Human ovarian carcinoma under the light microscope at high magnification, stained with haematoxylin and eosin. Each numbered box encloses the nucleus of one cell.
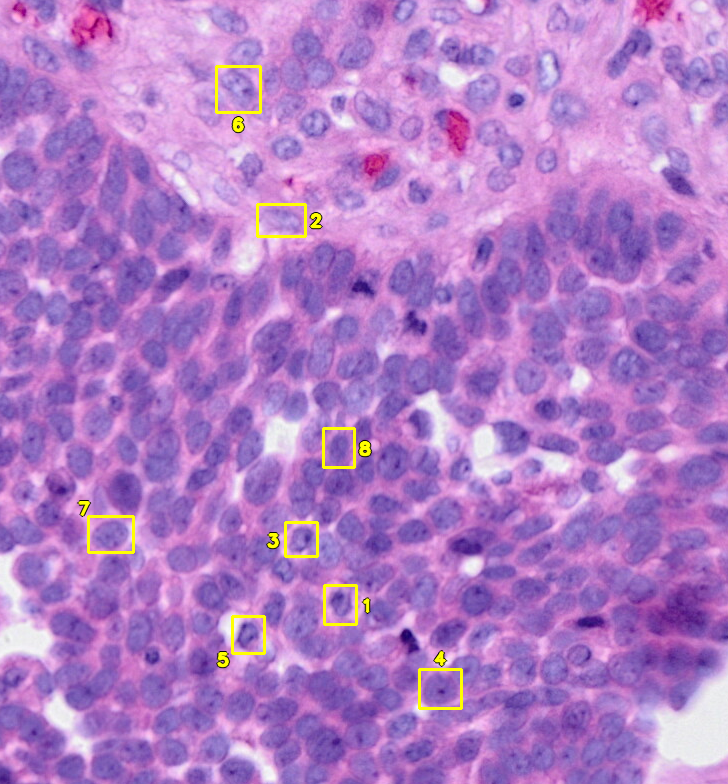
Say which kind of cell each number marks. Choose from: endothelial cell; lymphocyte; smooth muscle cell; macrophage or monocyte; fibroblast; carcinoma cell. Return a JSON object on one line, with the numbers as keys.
{"1": "macrophage or monocyte", "2": "fibroblast", "3": "macrophage or monocyte", "4": "carcinoma cell", "5": "macrophage or monocyte", "6": "fibroblast", "7": "carcinoma cell", "8": "carcinoma cell"}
